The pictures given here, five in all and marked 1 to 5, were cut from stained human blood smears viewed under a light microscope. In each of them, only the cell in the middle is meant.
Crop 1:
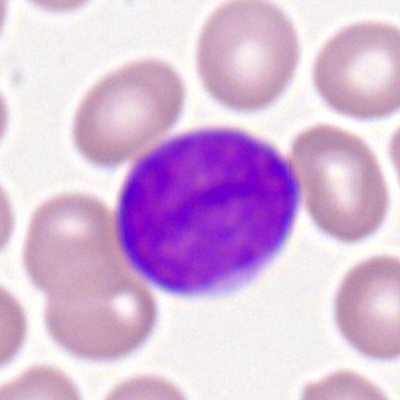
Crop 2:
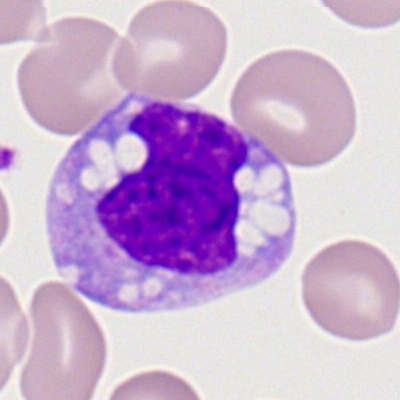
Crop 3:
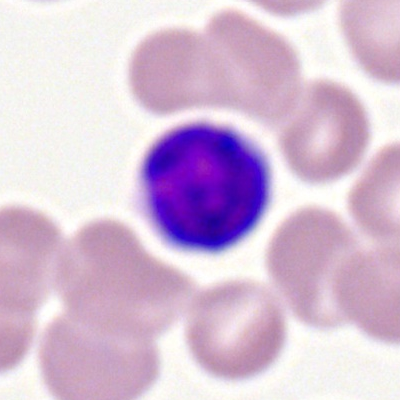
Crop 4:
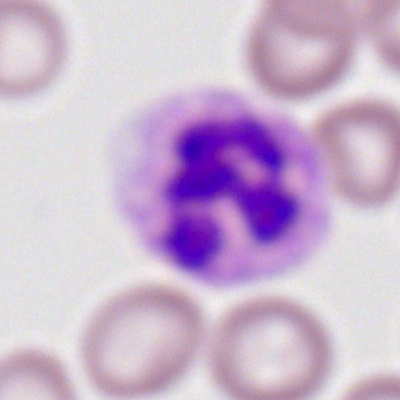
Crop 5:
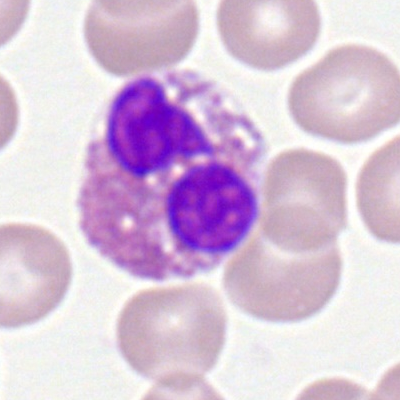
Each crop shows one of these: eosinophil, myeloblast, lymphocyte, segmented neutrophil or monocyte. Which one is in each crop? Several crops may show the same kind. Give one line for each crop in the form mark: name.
1: myeloblast
2: monocyte
3: lymphocyte
4: segmented neutrophil
5: eosinophil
